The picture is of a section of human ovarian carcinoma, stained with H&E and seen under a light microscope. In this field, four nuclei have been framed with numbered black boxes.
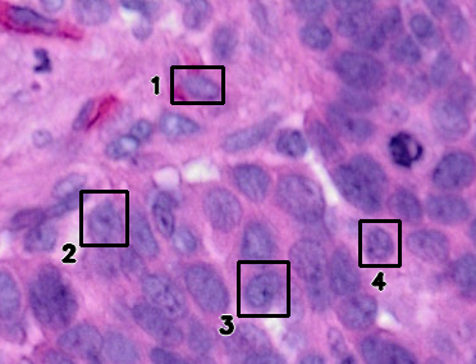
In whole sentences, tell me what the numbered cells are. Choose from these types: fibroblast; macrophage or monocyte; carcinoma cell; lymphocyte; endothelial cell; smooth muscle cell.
Cell 1 is an endothelial cell. Cells 2 and 3 are carcinoma cells. Cell 4 is a macrophage or monocyte.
